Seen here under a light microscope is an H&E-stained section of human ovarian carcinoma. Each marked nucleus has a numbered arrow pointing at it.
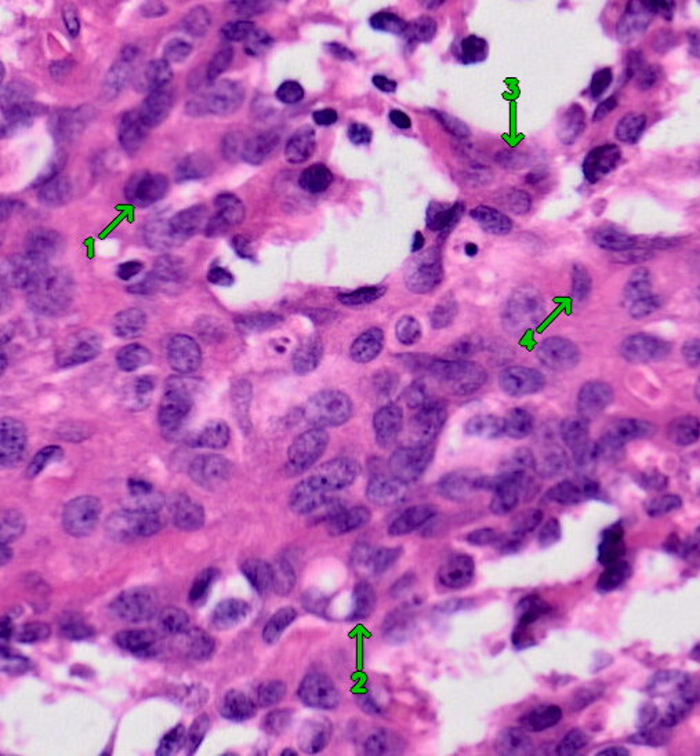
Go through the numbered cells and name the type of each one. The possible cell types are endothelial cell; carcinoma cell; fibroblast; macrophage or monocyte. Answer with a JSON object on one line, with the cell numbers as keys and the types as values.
{"1": "carcinoma cell", "2": "carcinoma cell", "3": "carcinoma cell", "4": "endothelial cell"}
